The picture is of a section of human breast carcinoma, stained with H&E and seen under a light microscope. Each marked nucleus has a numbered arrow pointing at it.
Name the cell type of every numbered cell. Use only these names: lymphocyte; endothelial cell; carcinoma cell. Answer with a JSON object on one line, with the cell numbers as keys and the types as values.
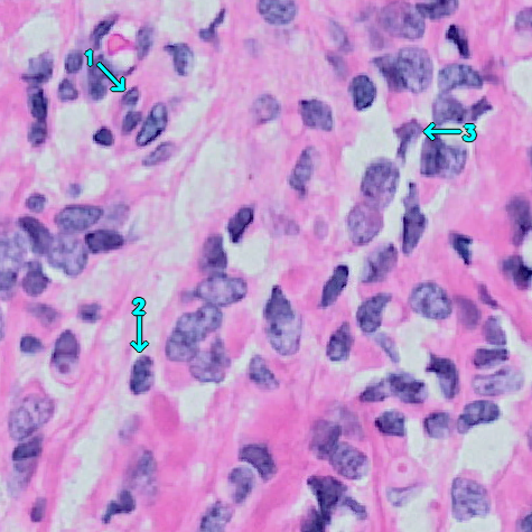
{"1": "endothelial cell", "2": "lymphocyte", "3": "carcinoma cell"}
